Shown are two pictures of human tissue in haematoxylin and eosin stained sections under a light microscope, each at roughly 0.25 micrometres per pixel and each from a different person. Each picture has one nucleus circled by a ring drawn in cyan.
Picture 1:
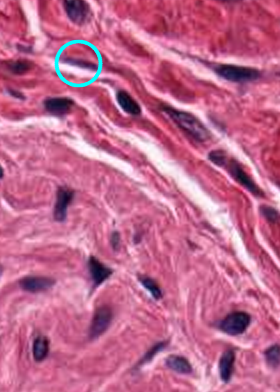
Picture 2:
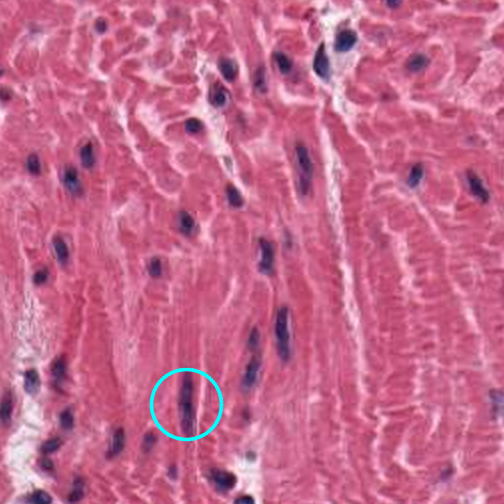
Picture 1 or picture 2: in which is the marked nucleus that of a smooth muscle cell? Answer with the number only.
2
